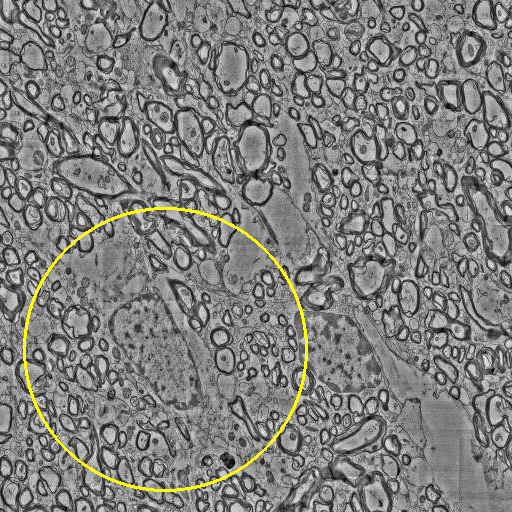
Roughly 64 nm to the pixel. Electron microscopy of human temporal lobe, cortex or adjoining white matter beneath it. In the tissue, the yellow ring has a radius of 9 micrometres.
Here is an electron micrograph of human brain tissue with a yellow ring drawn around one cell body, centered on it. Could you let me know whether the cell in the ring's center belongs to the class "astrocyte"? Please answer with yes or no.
yes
